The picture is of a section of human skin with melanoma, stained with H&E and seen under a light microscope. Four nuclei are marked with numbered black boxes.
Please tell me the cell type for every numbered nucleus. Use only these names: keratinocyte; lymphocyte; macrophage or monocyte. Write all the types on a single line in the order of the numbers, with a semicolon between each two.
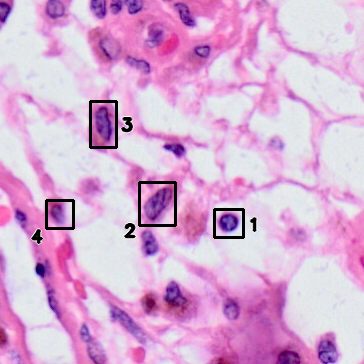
lymphocyte; macrophage or monocyte; macrophage or monocyte; macrophage or monocyte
